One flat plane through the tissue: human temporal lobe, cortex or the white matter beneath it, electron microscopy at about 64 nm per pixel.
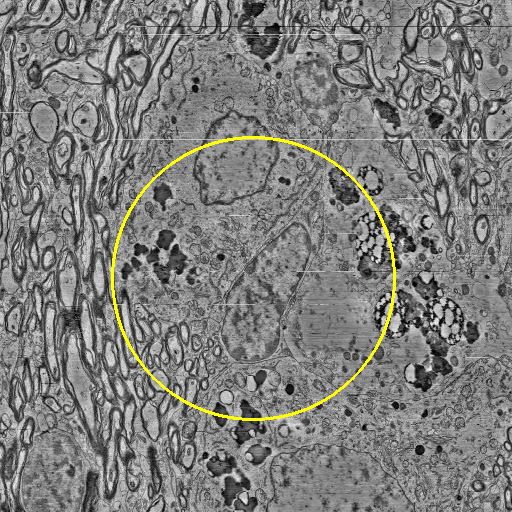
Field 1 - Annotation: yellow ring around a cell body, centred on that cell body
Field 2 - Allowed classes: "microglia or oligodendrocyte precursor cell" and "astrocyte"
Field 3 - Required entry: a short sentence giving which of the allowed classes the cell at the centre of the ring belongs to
The centred cell is a microglial cell or oligodendrocyte precursor cell.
